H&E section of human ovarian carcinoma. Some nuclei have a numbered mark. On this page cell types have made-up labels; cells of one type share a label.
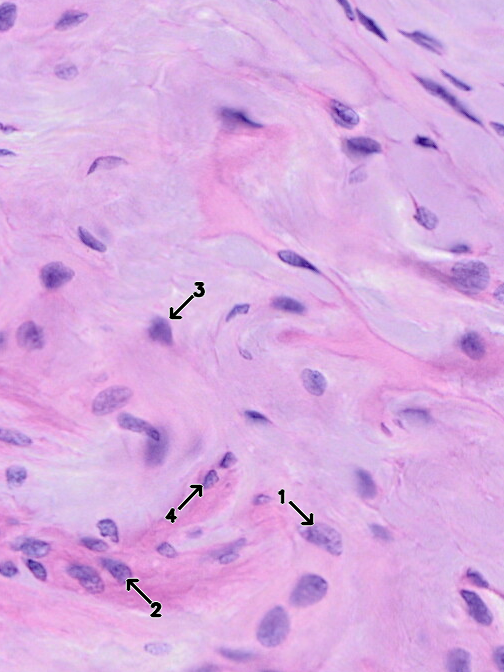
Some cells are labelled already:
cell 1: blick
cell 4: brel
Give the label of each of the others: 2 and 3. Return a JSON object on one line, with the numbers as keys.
{"2": "brel", "3": "blick"}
